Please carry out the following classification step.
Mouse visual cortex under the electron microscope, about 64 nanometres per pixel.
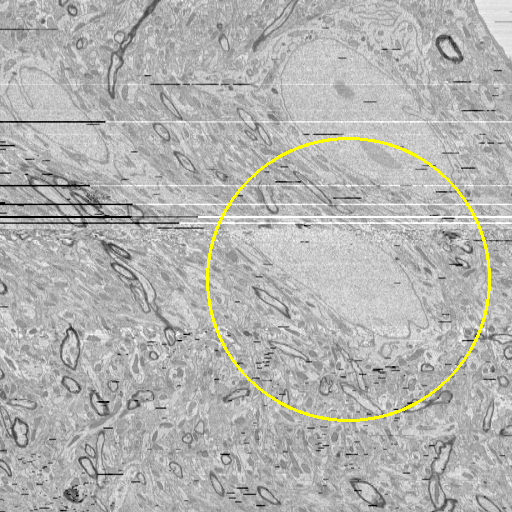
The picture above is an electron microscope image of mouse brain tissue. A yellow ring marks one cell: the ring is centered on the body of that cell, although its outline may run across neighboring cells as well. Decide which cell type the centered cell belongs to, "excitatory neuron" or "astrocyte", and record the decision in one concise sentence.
The cell centered in the yellow ring is an excitatory neuron.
